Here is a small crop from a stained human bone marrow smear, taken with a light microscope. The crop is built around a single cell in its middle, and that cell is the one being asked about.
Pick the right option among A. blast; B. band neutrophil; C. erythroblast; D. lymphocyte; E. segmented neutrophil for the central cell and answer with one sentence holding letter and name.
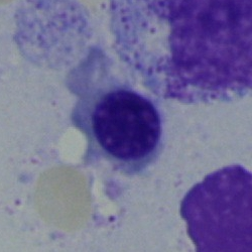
With the cell in the middle being an erythroblast, option C is the correct choice.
